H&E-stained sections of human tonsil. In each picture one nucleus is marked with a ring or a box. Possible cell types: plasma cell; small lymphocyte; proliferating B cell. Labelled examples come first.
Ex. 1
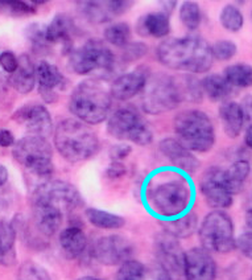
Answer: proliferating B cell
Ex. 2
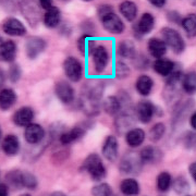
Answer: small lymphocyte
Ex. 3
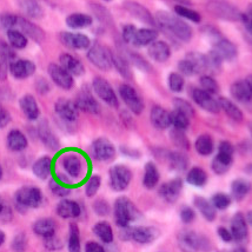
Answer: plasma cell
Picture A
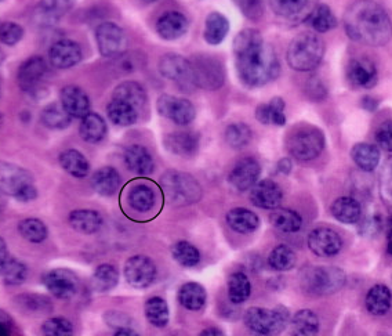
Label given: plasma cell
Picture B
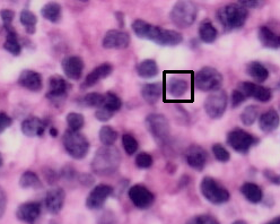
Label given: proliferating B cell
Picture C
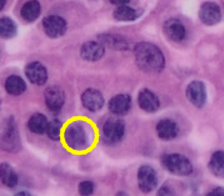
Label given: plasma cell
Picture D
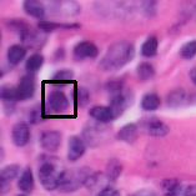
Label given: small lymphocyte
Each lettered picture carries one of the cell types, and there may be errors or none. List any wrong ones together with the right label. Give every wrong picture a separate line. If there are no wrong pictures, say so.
All labels are correct.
